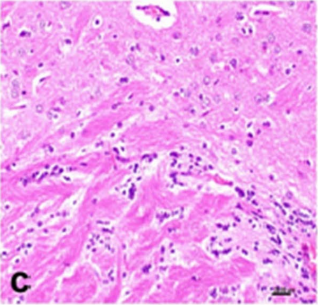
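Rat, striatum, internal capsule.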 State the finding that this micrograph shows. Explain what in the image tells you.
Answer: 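Many small dark nuclei cluster among pink fibre bundles. The nuclei are densest toward the lower right.
Hence: gliosis.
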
